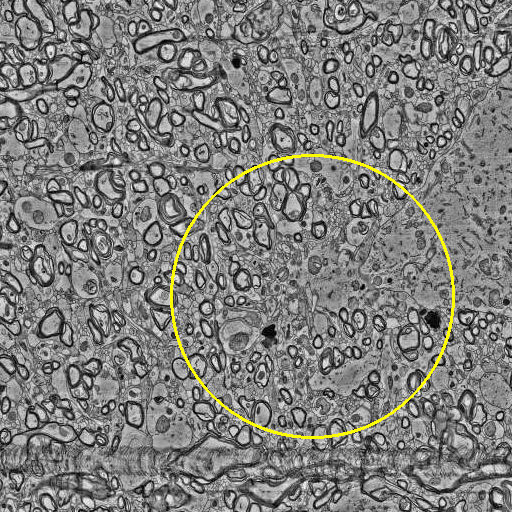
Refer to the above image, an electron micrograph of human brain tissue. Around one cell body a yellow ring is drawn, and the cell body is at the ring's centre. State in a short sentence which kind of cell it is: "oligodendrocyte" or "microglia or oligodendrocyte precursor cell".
The centre of the ring falls on an oligodendrocyte.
